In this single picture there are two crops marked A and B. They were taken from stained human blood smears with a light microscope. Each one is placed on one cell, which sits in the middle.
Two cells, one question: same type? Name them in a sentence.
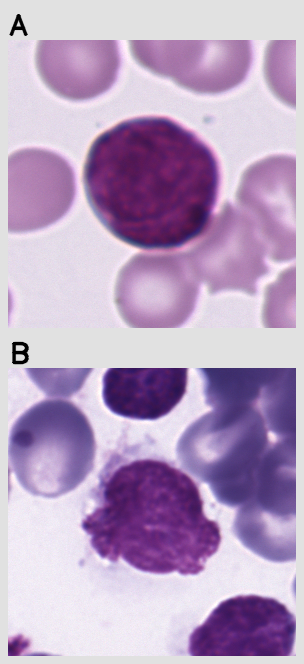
No, that is not right; crop A shows a myeloblast and crop B shows a smudge cell.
